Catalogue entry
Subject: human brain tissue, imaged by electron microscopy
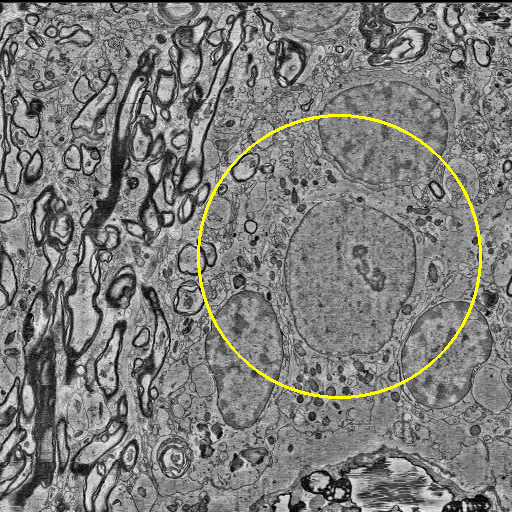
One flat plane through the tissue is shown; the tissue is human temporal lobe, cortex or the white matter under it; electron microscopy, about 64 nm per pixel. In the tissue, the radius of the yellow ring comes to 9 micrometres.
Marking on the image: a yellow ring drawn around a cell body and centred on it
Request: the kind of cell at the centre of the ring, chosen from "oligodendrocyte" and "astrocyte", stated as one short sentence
The ring has an astrocyte at its centre.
